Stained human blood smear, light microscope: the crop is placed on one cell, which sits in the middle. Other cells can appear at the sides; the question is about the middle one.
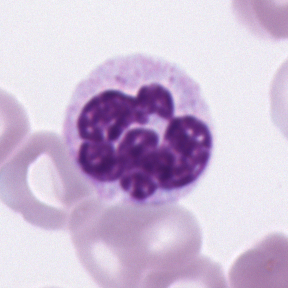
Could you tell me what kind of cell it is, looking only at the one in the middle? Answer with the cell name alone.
segmented neutrophil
